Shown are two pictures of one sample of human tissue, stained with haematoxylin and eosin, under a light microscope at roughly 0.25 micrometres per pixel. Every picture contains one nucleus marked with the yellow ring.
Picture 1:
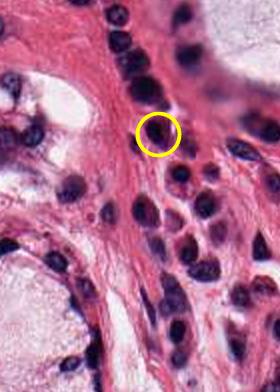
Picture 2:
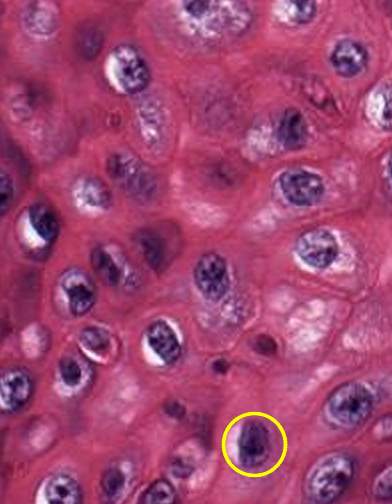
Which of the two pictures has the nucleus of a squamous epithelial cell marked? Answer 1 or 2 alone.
2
